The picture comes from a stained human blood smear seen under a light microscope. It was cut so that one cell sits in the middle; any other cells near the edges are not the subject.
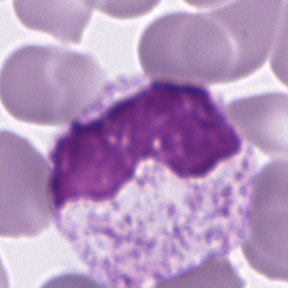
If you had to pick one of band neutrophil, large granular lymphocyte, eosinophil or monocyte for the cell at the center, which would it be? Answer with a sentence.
By type, the central cell of the crop is a band neutrophil.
